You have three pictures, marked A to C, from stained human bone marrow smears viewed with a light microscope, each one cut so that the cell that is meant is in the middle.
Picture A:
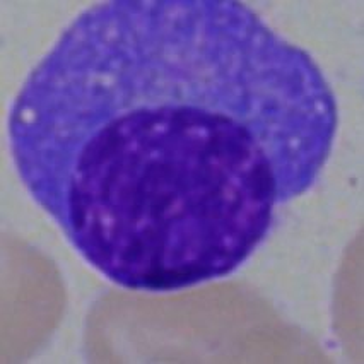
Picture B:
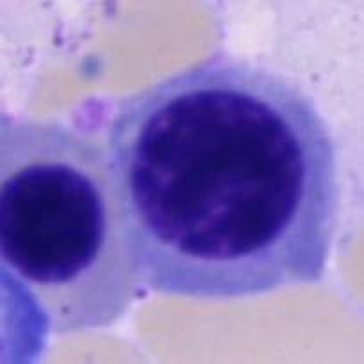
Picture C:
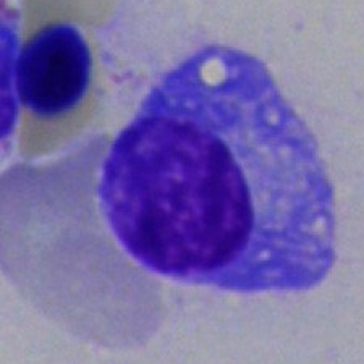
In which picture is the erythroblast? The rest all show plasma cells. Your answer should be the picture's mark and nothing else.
B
